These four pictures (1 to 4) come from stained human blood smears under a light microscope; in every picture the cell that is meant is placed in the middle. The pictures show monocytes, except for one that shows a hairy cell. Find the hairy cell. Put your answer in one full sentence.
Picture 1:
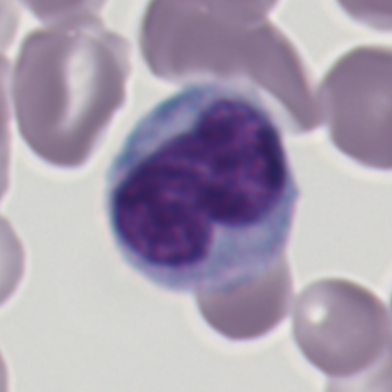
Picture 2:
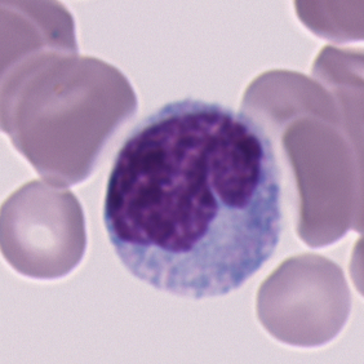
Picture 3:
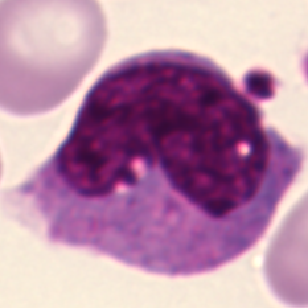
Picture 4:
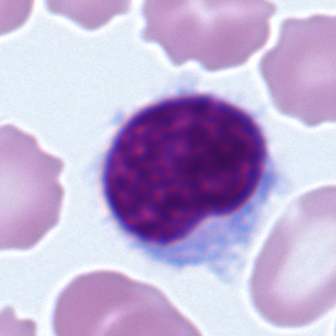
Picture 4 is the one that shows the hairy cell.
